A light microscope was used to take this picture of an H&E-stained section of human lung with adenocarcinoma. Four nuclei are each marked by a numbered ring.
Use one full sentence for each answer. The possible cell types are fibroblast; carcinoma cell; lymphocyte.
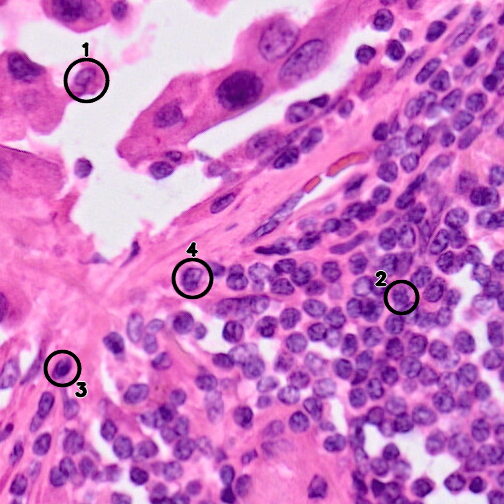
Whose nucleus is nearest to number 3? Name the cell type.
The cell nearest to number 3 is a fibroblast.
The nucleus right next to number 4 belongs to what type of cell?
Number 4 lies closest to the nucleus of a lymphocyte.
